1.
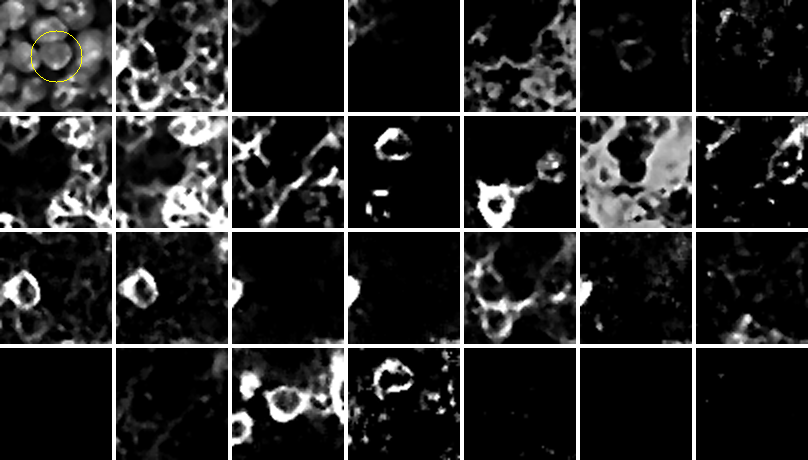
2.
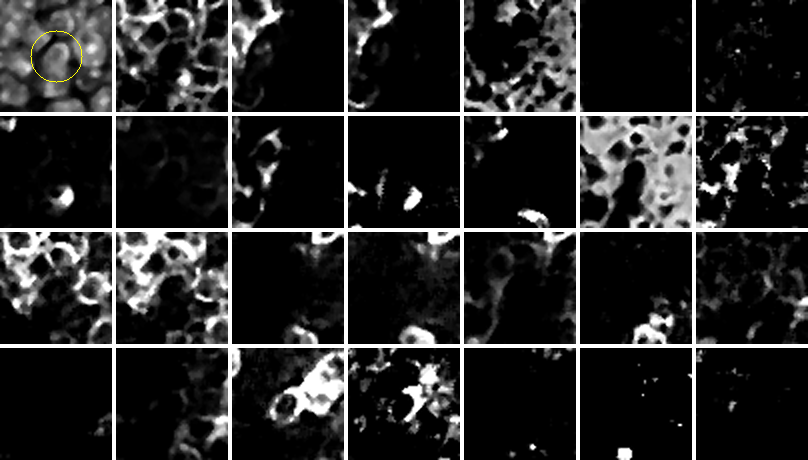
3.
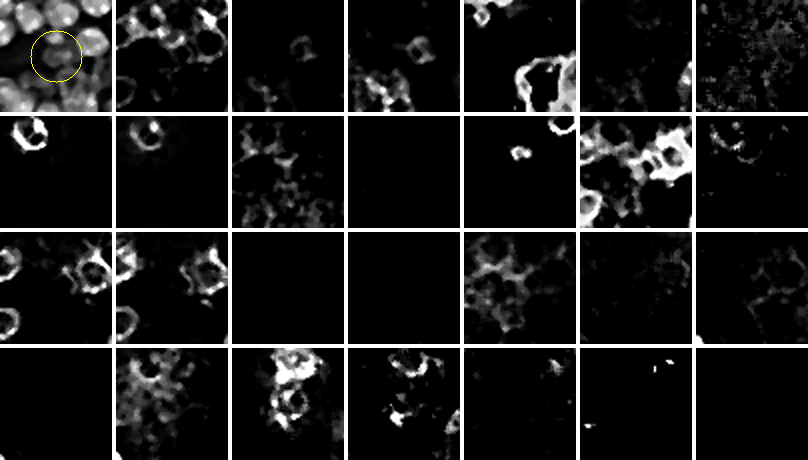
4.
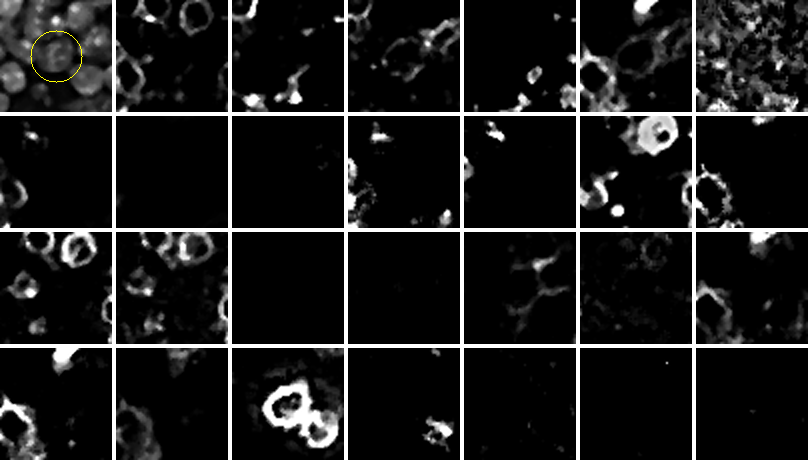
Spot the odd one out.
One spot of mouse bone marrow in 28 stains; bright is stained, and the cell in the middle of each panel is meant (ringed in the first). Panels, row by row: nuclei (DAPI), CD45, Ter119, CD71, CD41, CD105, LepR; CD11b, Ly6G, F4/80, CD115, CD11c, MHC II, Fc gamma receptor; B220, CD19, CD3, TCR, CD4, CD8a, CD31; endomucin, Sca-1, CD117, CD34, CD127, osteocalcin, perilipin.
Picture 2 (a granulocyte-monocyte progenitor among megakaryocyte-erythroid progenitors).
